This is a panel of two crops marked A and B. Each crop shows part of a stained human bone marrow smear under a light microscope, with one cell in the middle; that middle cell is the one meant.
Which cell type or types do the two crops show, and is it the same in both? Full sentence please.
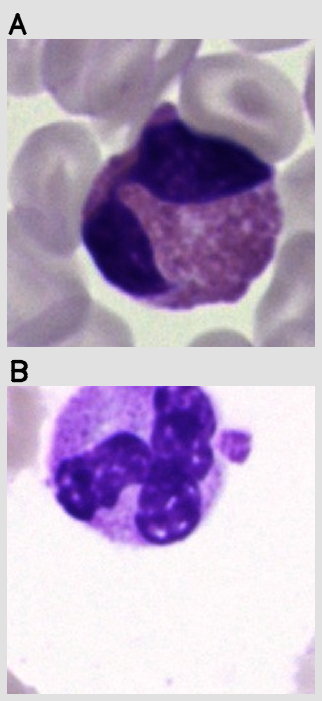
No, crop A gives us an eosinophil and crop B gives us a neutrophil.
